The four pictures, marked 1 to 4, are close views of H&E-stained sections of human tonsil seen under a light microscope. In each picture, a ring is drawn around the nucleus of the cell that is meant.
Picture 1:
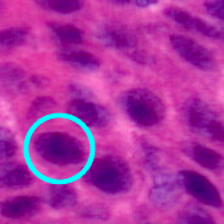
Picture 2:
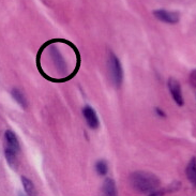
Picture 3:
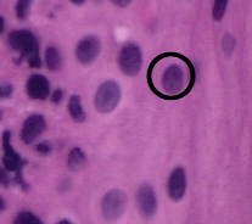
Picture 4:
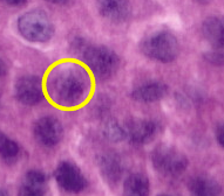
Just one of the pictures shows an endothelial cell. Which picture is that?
2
